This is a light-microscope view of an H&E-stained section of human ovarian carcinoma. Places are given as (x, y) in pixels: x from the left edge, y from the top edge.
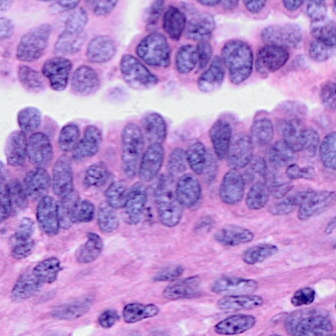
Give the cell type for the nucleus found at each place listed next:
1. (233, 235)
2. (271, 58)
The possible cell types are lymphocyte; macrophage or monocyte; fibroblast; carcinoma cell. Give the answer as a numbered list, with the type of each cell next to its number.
1. fibroblast
2. carcinoma cell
